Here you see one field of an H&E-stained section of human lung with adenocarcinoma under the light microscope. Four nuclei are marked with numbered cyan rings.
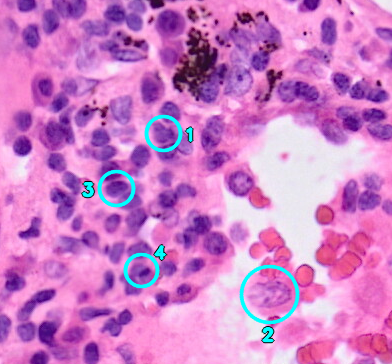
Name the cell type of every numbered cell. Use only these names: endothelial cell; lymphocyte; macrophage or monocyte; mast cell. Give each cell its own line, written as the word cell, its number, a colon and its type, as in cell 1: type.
cell 1: lymphocyte
cell 2: macrophage or monocyte
cell 3: lymphocyte
cell 4: lymphocyte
